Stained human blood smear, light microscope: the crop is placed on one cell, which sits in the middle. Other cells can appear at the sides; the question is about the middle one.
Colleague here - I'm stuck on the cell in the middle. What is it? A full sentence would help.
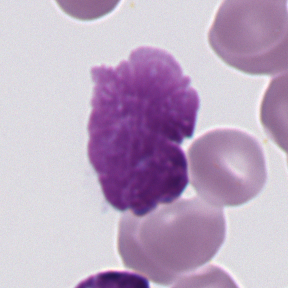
In the middle of this smear crop is a smudge cell.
